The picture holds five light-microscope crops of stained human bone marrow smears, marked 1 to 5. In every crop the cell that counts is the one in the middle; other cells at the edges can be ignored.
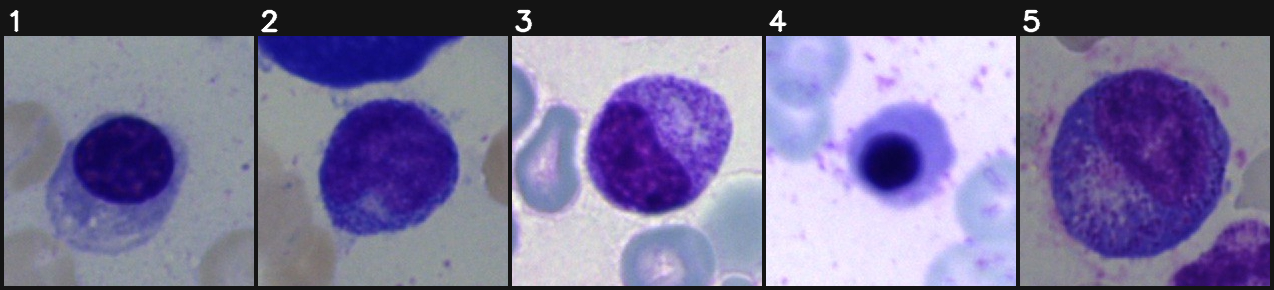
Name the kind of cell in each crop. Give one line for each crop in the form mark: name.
1: erythroblast
2: blast
3: metamyelocyte
4: erythroblast
5: promyelocyte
